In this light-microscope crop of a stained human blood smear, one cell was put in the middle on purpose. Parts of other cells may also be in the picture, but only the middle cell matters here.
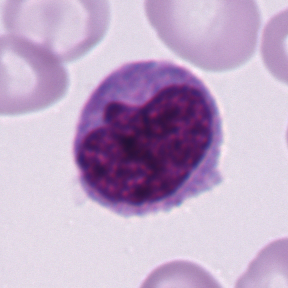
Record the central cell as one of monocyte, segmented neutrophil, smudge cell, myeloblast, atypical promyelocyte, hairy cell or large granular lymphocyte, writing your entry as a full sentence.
Centred in the crop is a monocyte.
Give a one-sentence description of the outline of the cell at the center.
The perimeter of the cell is irregular, with ragged sections or outward projections.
